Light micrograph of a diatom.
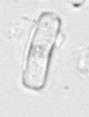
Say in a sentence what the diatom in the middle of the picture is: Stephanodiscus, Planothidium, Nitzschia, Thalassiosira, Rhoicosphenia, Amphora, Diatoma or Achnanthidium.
This is Achnanthidium.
